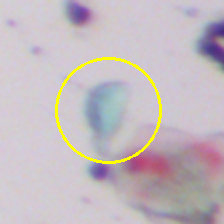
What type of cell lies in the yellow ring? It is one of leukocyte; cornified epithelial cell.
The ringed cell is a cornified epithelial cell.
